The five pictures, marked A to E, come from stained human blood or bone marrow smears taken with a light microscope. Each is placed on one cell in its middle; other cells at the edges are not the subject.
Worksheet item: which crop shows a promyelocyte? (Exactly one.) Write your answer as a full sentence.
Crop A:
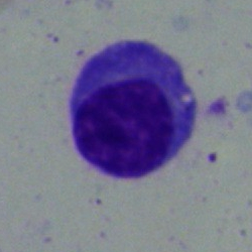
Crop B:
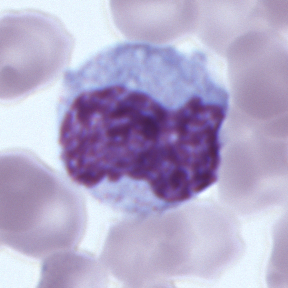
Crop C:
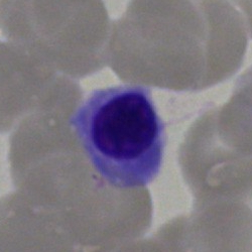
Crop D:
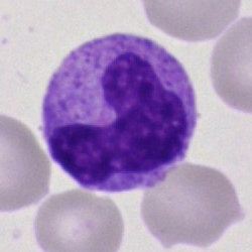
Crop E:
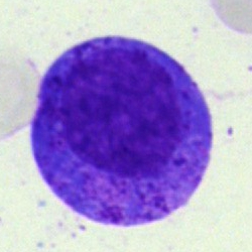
Crop E matches the request, showing a promyelocyte.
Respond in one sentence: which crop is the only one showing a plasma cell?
In this series, a plasma cell is shown by crop A.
